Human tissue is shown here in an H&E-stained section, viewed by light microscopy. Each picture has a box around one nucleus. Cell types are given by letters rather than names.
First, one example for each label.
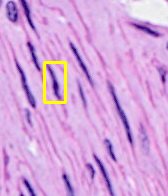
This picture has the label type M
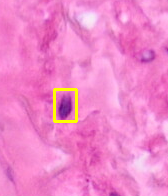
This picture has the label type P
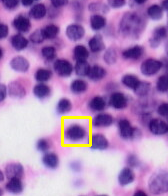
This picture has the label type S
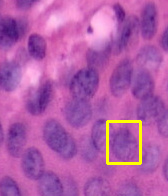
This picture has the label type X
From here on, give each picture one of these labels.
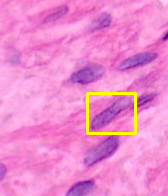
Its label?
type P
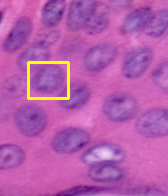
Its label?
type X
